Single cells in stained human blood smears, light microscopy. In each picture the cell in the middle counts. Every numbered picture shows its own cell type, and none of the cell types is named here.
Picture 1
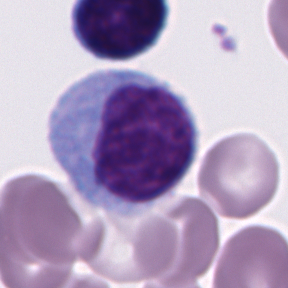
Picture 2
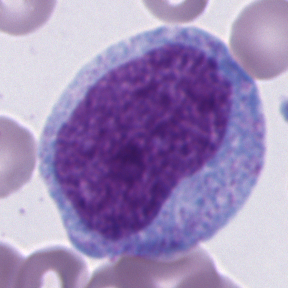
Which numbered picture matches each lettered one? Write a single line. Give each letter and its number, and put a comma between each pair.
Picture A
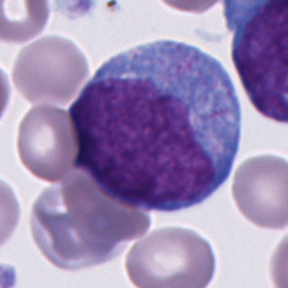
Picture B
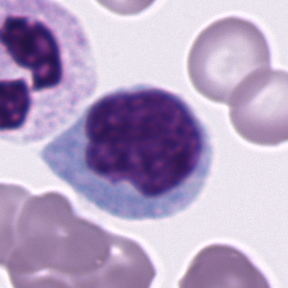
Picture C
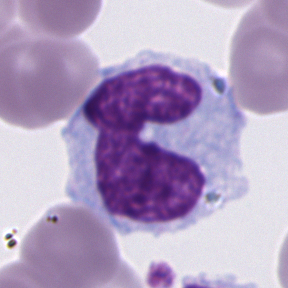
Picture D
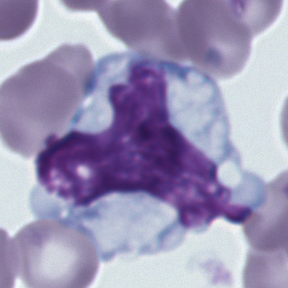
A 2, B 1, C 1, D 1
